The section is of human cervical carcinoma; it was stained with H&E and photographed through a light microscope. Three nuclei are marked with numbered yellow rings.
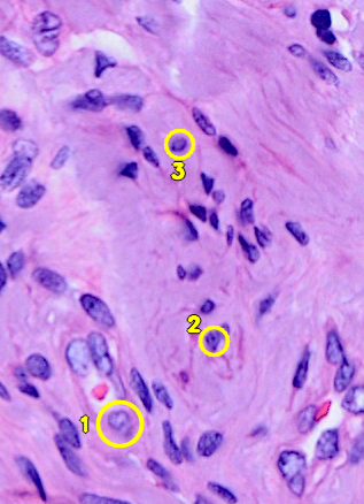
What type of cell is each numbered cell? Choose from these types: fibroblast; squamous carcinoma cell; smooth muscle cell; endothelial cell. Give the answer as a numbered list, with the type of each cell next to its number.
1. endothelial cell
2. smooth muscle cell
3. fibroblast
